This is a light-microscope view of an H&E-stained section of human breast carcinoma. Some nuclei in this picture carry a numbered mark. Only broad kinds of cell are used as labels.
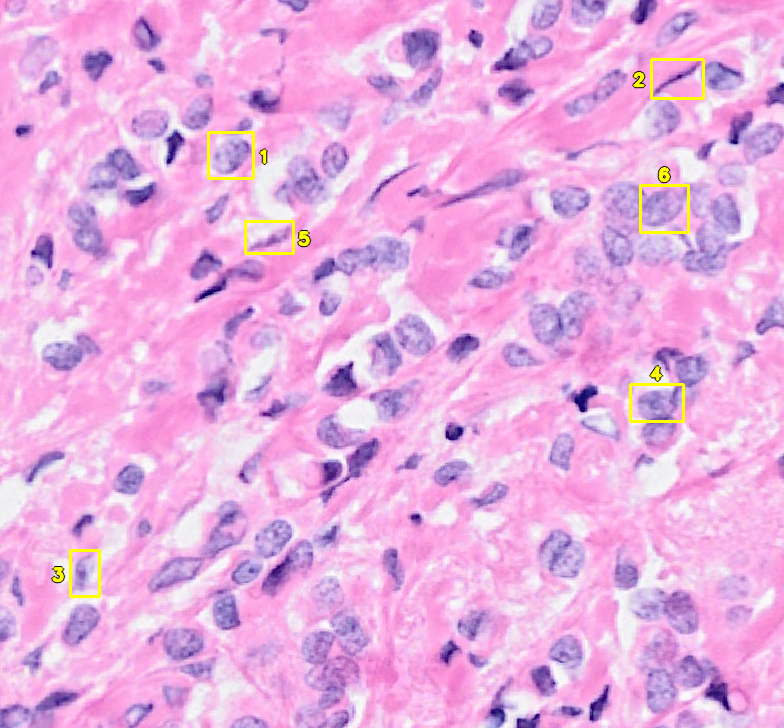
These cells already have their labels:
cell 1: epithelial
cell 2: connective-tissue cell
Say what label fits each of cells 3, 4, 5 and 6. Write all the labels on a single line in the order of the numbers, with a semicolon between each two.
connective-tissue cell; epithelial; connective-tissue cell; epithelial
